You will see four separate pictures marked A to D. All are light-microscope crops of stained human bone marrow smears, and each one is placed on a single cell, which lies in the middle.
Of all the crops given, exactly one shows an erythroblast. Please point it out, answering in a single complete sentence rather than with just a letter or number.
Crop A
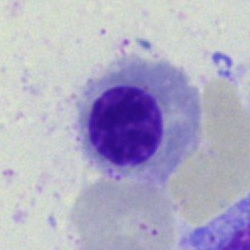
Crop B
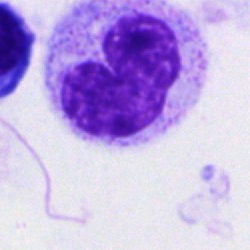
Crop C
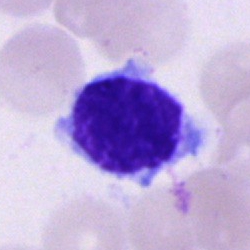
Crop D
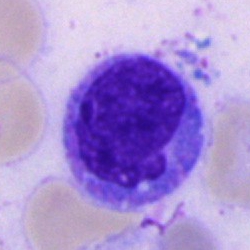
Crop A is the one in the set with an erythroblast at the center.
